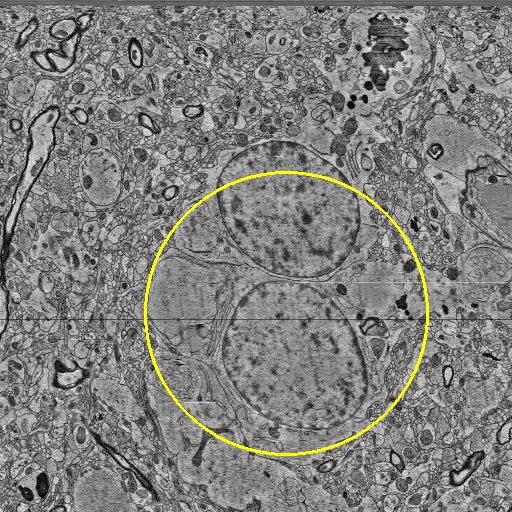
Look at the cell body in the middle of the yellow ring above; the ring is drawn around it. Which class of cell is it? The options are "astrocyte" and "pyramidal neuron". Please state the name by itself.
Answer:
astrocyte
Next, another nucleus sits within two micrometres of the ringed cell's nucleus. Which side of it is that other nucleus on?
The other nucleus is positioned above it.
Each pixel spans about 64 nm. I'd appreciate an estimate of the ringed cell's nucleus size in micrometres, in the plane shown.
In this plane the nucleus measures roughly 11 by 8 micrometers.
